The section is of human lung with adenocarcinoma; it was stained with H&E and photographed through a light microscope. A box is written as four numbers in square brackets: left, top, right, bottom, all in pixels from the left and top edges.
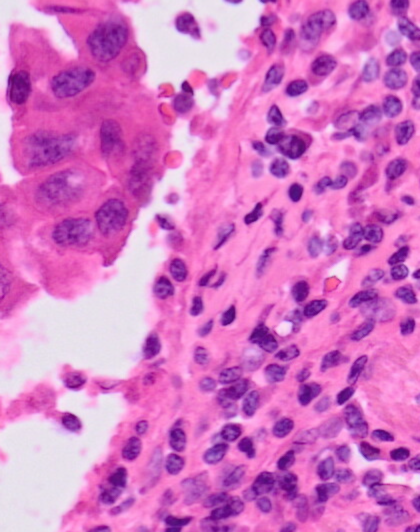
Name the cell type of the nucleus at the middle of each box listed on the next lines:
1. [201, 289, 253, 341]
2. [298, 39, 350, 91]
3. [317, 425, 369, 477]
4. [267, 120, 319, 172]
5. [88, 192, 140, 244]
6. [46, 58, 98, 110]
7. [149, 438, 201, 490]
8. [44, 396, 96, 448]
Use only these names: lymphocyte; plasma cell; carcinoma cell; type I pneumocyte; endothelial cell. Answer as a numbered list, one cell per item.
1. lymphocyte
2. plasma cell
3. lymphocyte
4. plasma cell
5. carcinoma cell
6. carcinoma cell
7. lymphocyte
8. lymphocyte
